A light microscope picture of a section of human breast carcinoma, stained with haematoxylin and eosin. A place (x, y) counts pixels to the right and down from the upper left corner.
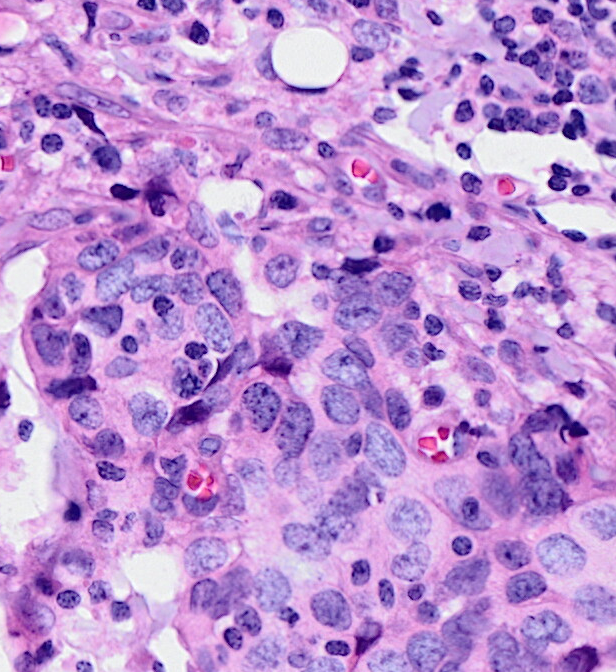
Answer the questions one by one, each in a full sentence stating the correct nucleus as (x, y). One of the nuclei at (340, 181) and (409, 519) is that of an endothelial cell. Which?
Belonging to an endothelial cell is the nucleus at (340, 181).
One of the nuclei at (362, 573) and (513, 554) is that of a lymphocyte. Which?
Of the two nuclei, the one sitting at (362, 573) belongs to a lymphocyte.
